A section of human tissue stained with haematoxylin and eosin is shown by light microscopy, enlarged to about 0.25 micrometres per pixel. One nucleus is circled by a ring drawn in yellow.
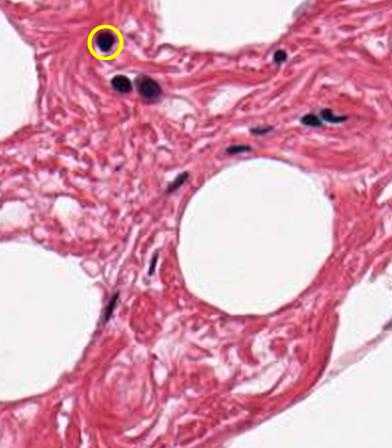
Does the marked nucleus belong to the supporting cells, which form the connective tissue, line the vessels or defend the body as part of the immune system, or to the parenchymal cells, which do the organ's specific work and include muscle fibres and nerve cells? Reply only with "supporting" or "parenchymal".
supporting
